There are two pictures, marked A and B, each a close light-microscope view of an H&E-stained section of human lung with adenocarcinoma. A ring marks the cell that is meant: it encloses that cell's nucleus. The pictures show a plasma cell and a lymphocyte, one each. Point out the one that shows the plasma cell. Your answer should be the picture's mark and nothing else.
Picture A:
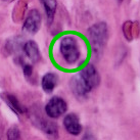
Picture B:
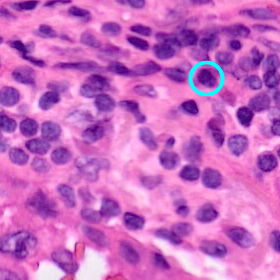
B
